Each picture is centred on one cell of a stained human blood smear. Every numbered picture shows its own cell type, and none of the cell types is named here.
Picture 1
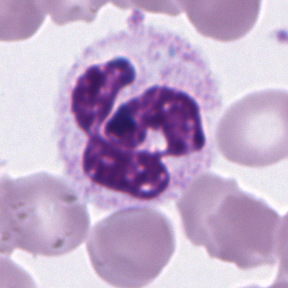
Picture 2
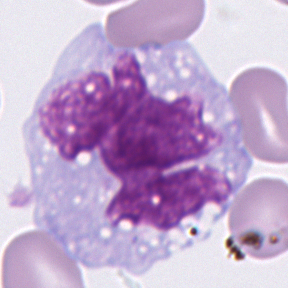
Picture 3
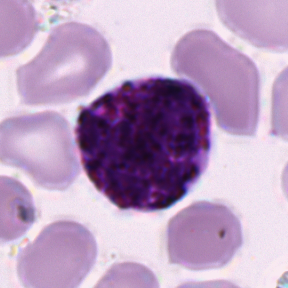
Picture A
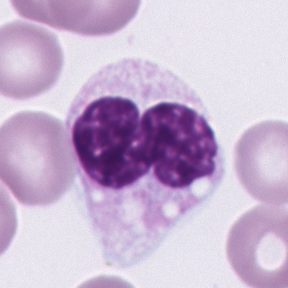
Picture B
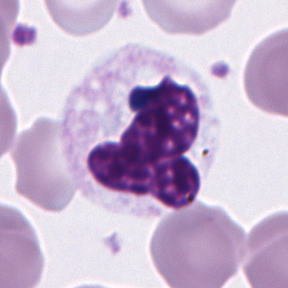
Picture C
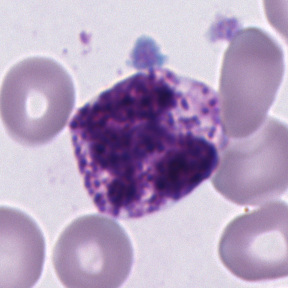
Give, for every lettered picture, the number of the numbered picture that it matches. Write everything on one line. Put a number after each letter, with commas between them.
A 1, B 1, C 3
